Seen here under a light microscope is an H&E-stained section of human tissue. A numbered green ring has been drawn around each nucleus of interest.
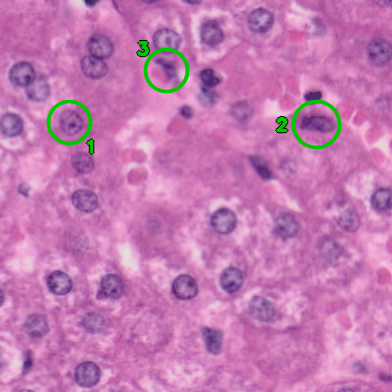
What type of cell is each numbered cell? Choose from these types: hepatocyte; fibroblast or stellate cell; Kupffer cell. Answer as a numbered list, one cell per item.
1. hepatocyte
2. Kupffer cell
3. fibroblast or stellate cell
